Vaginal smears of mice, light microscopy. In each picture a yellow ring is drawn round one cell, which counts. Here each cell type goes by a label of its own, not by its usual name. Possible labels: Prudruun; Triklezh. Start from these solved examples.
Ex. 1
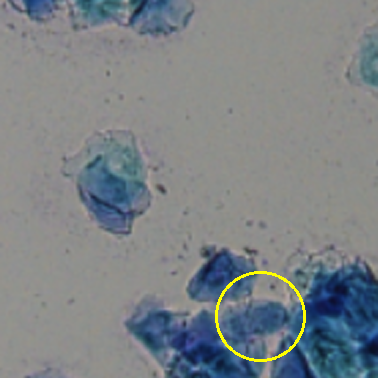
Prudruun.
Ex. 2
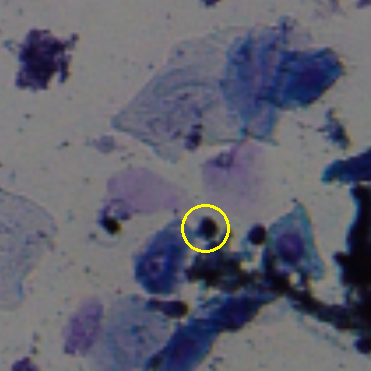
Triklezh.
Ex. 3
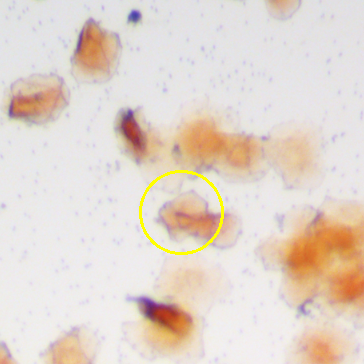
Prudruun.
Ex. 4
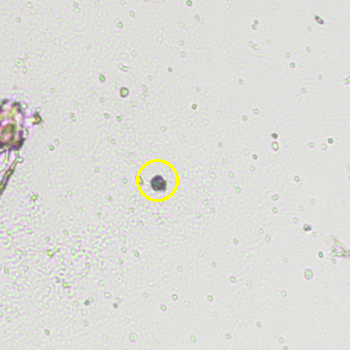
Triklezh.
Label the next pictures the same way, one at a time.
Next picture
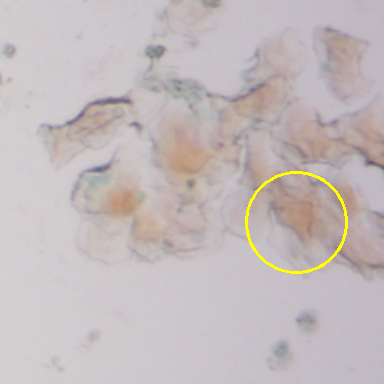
Prudruun.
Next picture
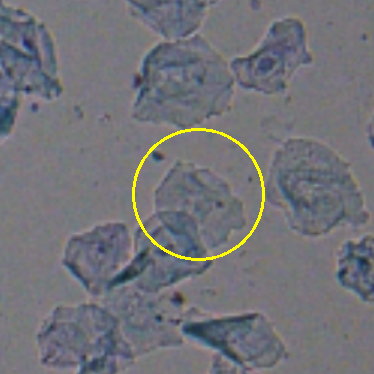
Prudruun.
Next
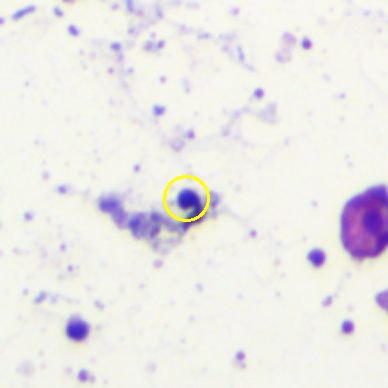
Triklezh.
